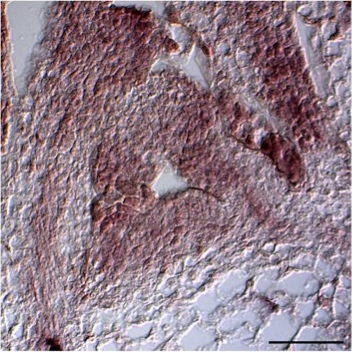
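Section through a shoot apex showing the meristem as a central dome of small, densely packed cells, flanked by developing leaf primordia that curve up around it. Beneath the dome lie larger, paler, vacuolated cells with little color.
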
